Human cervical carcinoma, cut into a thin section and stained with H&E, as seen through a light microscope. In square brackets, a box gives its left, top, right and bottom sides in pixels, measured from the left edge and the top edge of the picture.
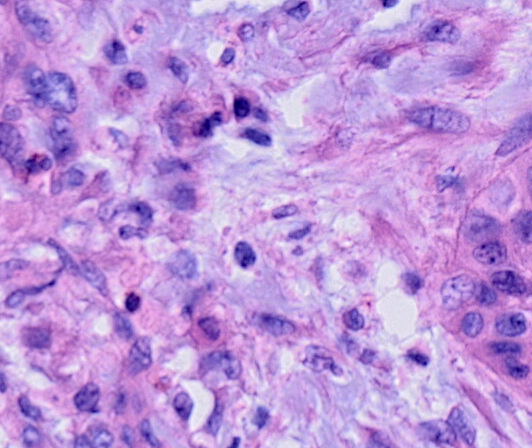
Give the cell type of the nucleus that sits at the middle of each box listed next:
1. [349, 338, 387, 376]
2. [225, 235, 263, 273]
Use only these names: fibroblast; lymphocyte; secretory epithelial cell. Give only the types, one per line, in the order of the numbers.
fibroblast
lymphocyte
